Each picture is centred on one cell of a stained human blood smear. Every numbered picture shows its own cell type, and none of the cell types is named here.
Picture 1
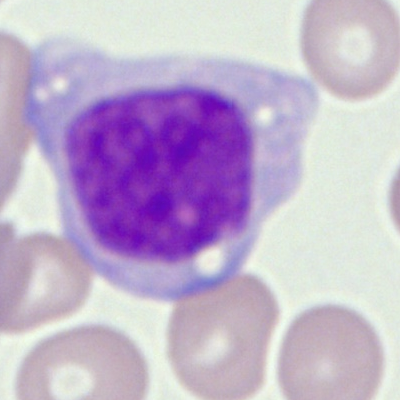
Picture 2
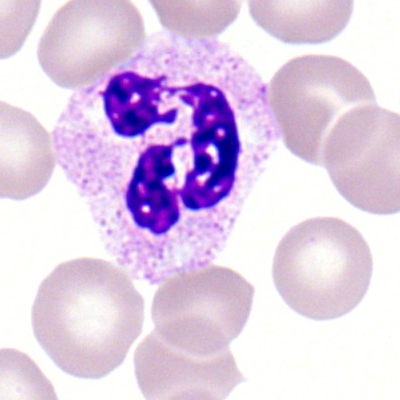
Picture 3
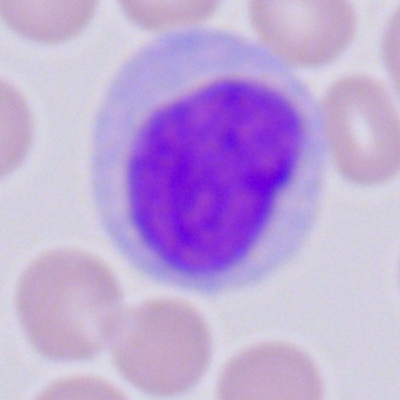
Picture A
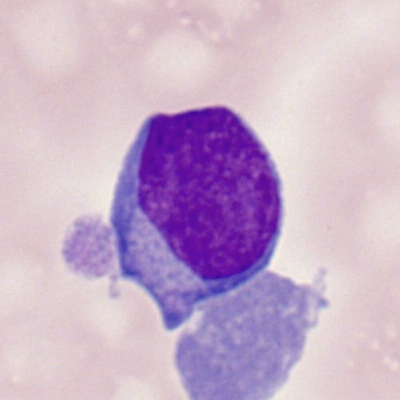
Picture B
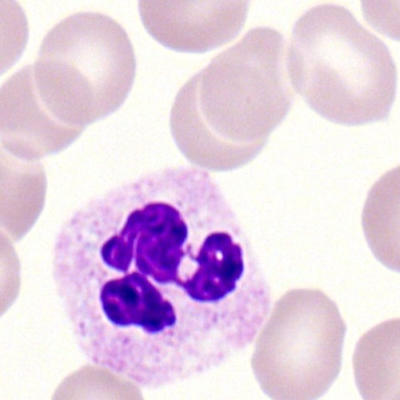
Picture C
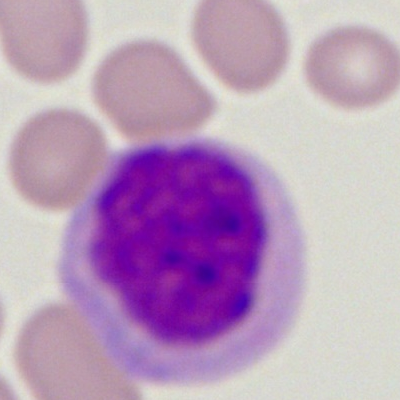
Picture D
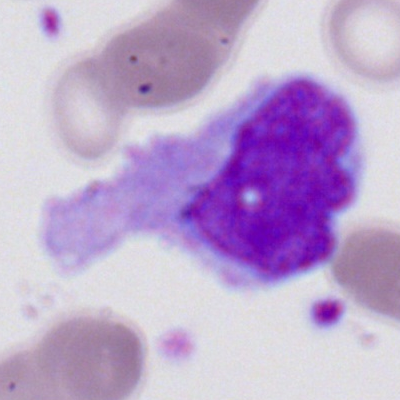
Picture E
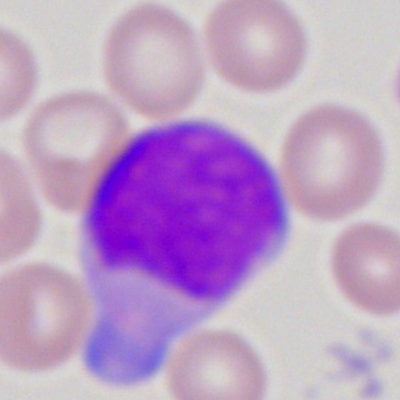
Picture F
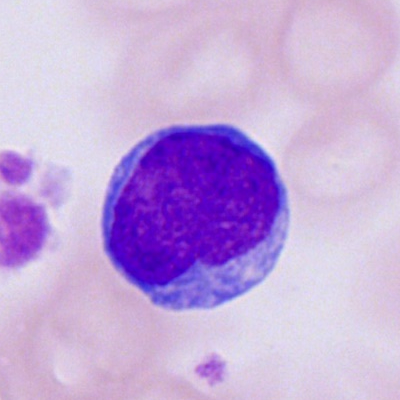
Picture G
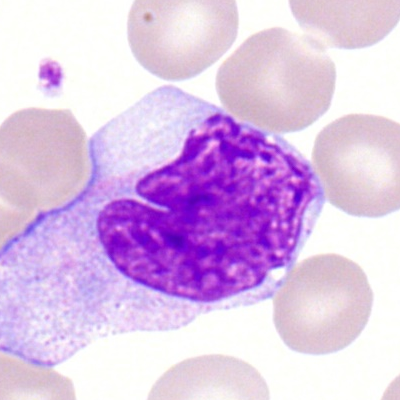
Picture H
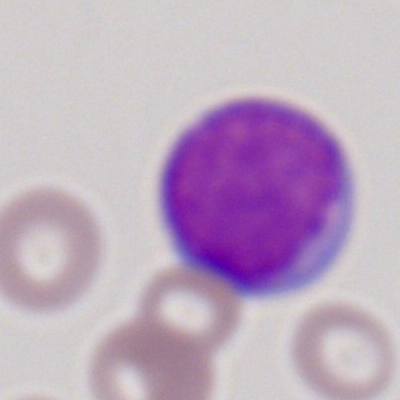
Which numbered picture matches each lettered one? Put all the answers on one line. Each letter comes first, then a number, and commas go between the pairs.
A 3, B 2, C 1, D 1, E 3, F 3, G 1, H 3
